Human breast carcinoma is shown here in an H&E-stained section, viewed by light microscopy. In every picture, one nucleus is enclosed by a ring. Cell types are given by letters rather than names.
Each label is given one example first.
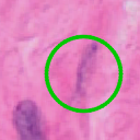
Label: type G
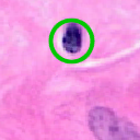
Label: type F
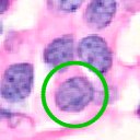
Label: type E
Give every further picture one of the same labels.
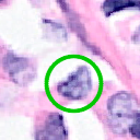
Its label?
type E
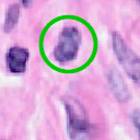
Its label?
type F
